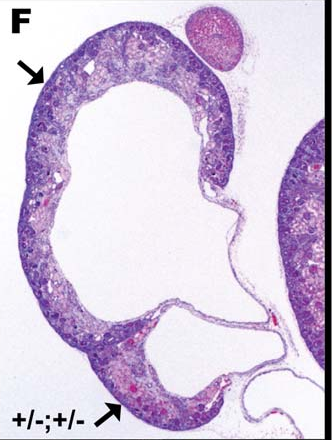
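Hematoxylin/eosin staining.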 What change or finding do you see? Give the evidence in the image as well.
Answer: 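A large empty cavity fills the centre of the kidney. The surrounding kidney tissue is stretched into a thin rim.
Conclusion: hydronephrosis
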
